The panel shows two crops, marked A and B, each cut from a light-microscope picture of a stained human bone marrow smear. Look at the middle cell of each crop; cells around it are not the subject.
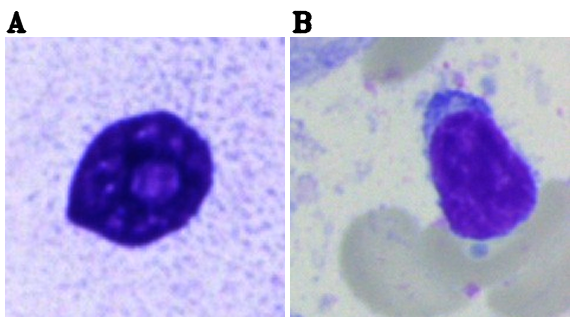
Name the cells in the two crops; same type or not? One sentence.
Yes, both crops, not just one, show lymphocytes.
